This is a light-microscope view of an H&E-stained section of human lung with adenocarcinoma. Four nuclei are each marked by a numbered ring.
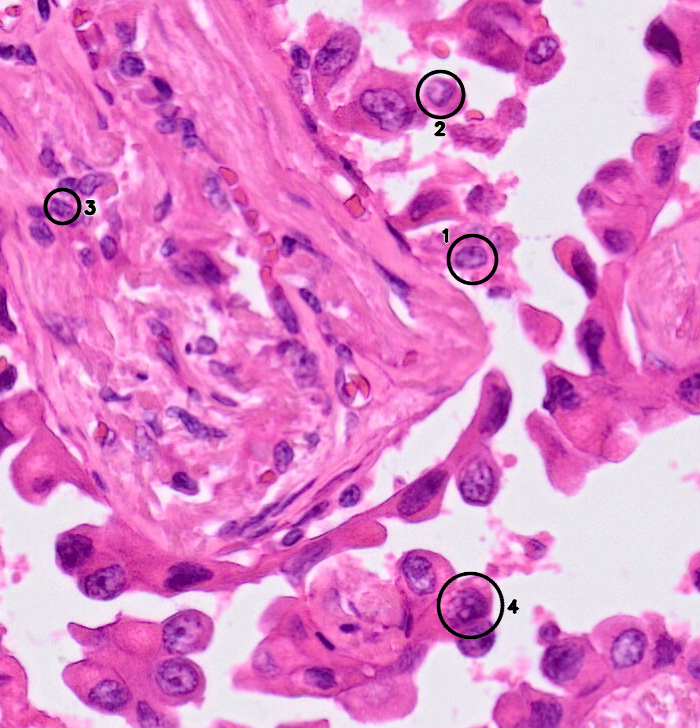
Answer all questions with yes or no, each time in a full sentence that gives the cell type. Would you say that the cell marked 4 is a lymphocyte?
No, it is a carcinoma cell that is marked with number 4, not a lymphocyte.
